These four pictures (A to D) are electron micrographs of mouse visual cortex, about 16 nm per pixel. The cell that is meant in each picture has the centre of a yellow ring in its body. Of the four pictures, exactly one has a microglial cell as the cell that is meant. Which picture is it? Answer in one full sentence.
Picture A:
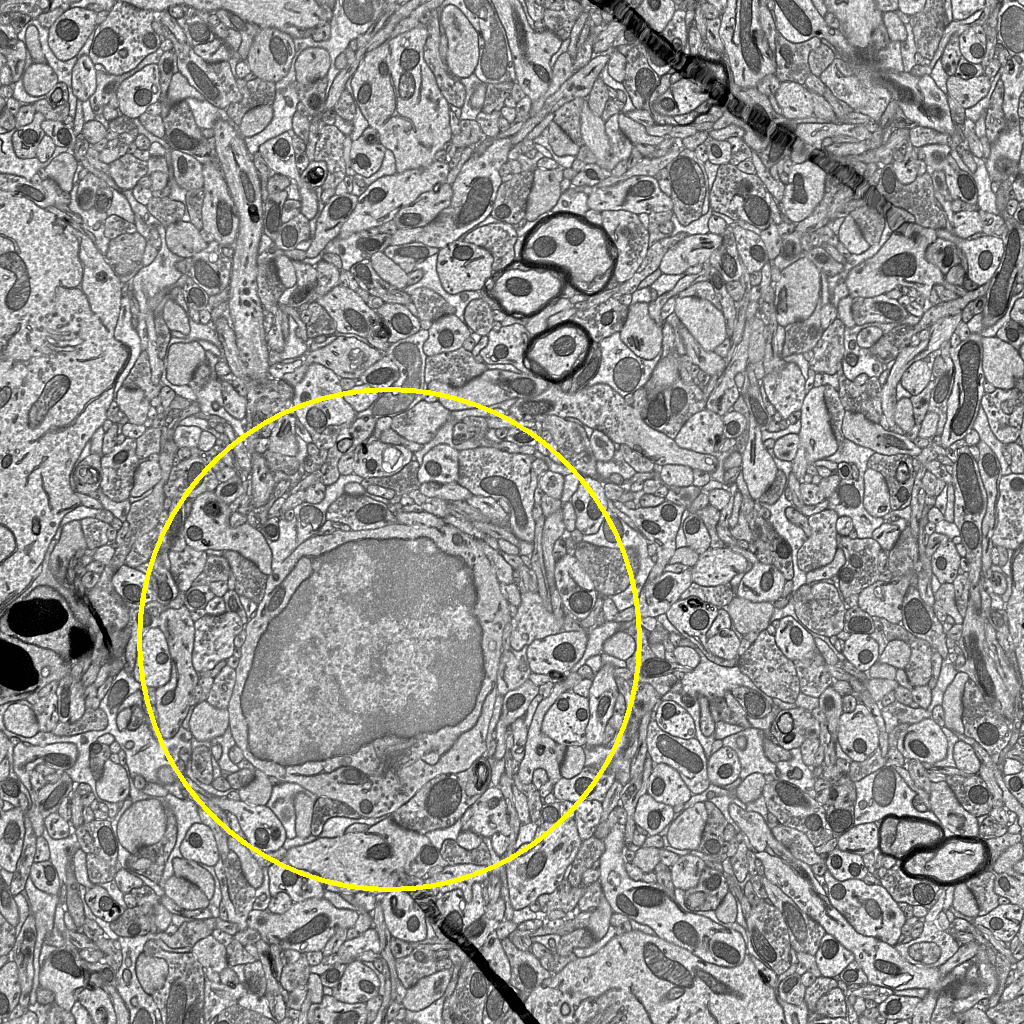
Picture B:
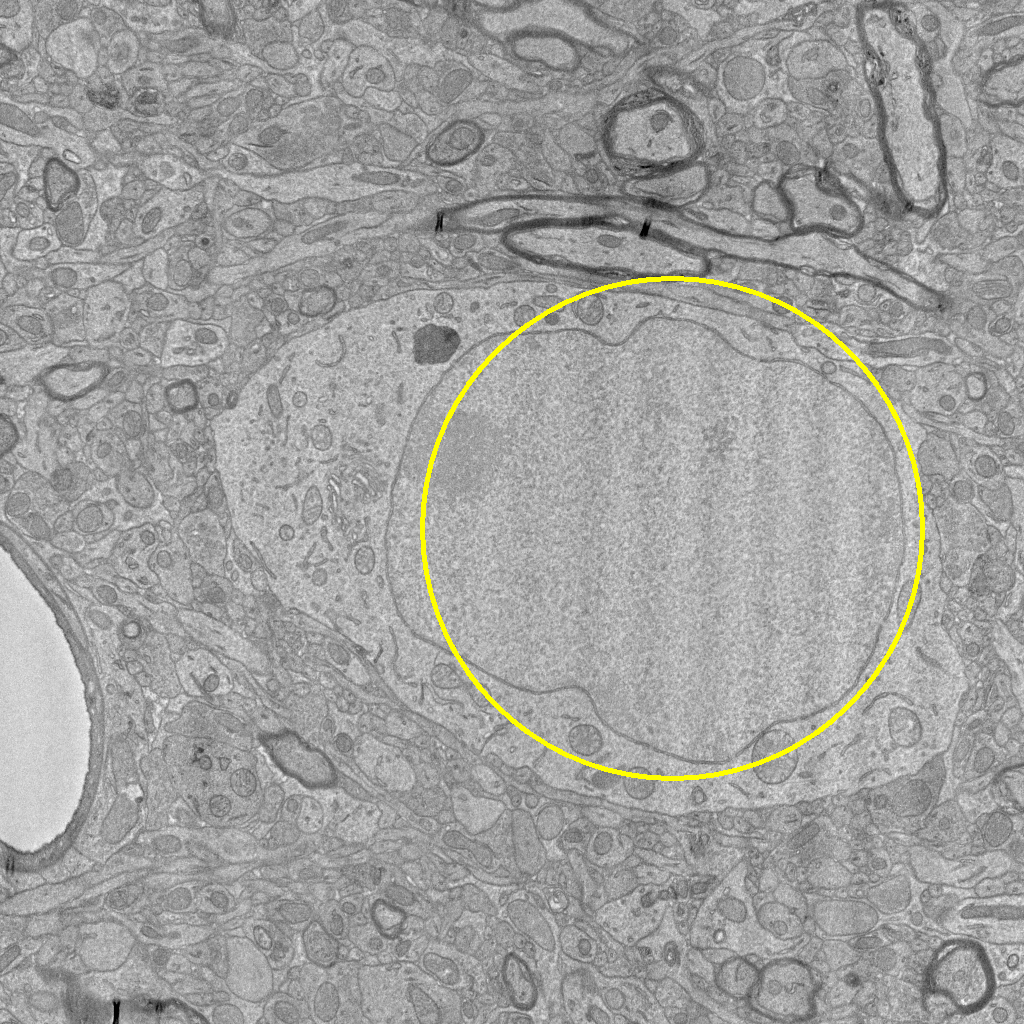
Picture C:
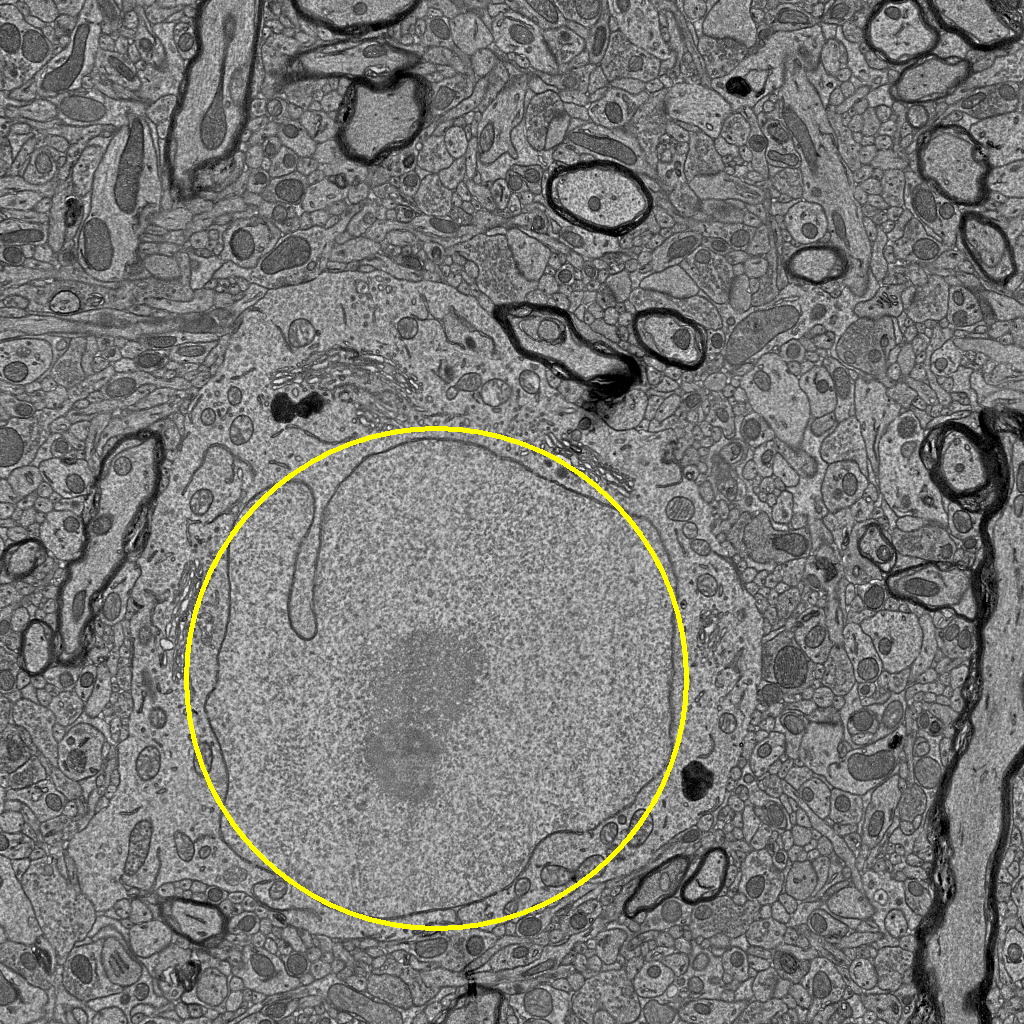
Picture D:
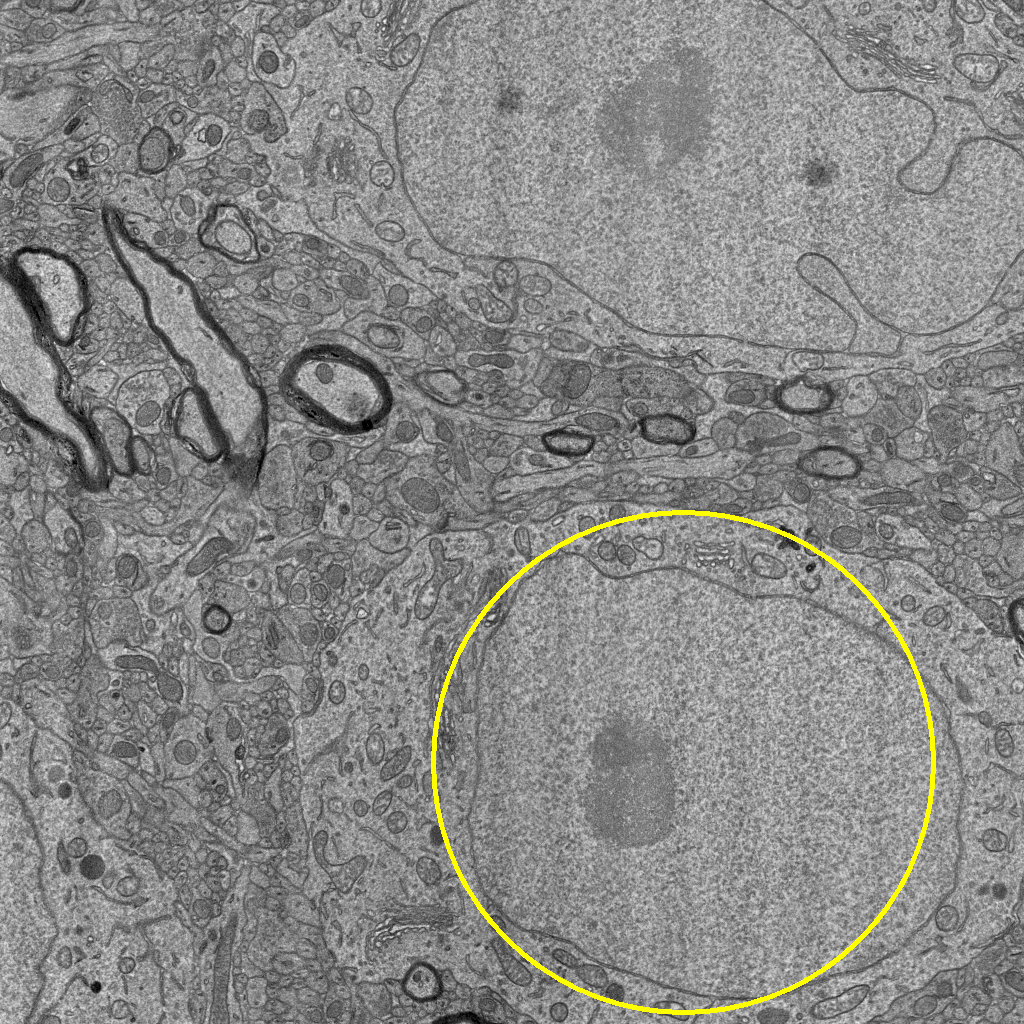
The cell in picture A is the microglial cell.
